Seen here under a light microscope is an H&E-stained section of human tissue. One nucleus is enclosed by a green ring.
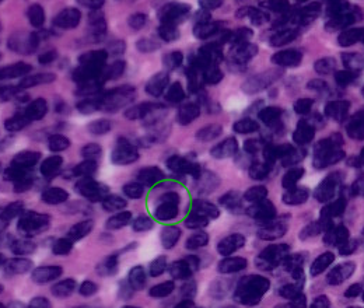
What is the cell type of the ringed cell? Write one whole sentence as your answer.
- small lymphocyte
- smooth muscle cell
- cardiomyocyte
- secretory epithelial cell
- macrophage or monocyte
By its classification, the ringed cell is a small lymphocyte.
